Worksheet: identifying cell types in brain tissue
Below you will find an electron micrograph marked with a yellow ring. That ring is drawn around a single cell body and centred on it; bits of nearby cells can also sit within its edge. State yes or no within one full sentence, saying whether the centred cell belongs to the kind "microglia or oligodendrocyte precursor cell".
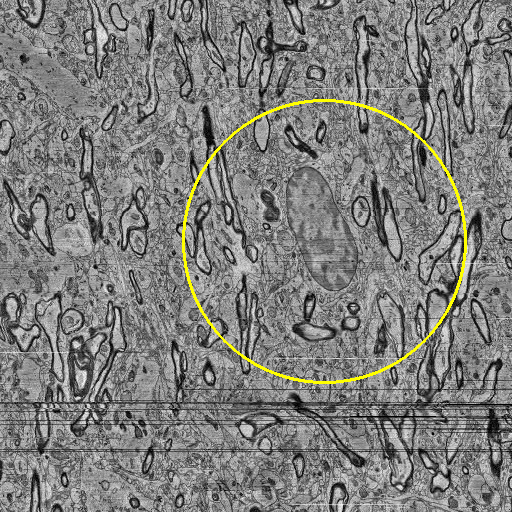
Yes, the cell sitting at the centre of the yellow ring in this picture is of that kind.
